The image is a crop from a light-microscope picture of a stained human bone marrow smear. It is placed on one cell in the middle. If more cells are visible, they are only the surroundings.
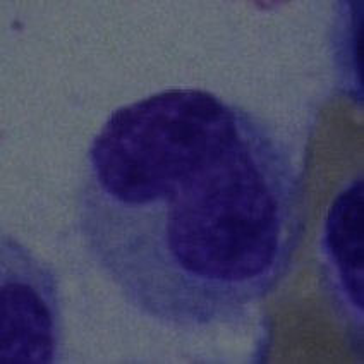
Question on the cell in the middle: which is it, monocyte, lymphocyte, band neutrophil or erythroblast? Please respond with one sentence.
This crop is built around a band neutrophil at its centre.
